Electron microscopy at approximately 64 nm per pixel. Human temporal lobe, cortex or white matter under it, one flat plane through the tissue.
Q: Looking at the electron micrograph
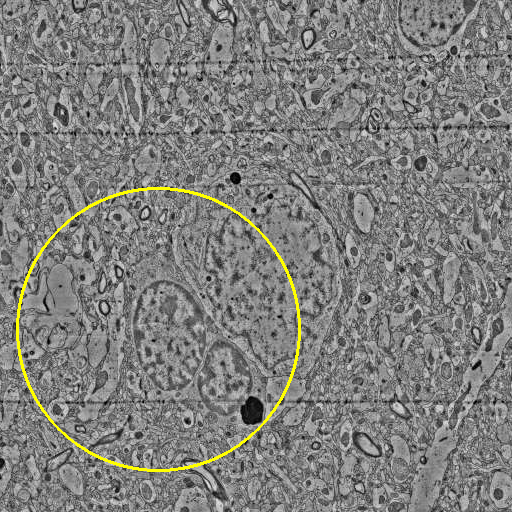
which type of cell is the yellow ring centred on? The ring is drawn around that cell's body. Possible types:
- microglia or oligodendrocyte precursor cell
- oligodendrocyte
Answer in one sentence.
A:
The yellow ring is centred on an oligodendrocyte.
